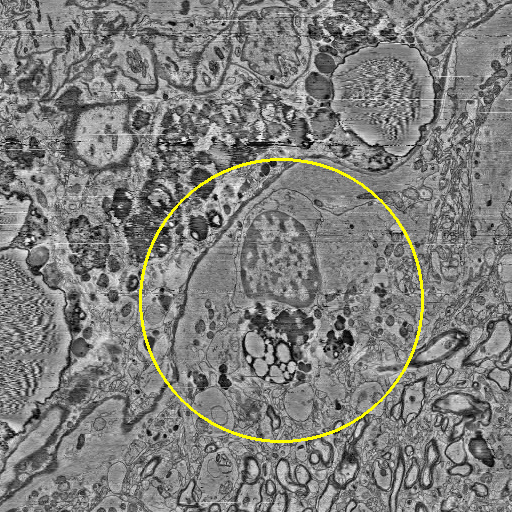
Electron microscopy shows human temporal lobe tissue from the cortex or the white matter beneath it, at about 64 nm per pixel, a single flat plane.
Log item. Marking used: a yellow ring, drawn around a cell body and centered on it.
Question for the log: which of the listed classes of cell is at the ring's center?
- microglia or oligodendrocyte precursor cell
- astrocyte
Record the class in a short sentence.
At the center of the ring lies a microglial cell or oligodendrocyte precursor cell.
